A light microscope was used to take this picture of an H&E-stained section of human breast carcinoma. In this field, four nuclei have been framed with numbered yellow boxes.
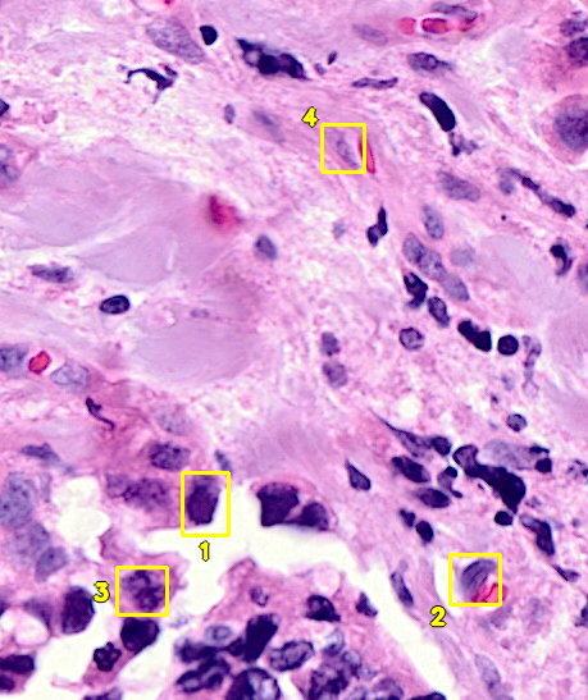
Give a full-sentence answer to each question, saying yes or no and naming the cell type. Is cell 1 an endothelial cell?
No, in terms of cell type, cell 1 is a carcinoma cell, not an endothelial cell.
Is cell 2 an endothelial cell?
Yes, the cell that goes by number 2 is an endothelial cell.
